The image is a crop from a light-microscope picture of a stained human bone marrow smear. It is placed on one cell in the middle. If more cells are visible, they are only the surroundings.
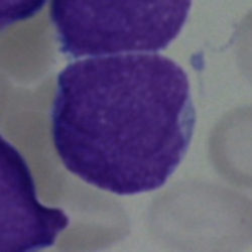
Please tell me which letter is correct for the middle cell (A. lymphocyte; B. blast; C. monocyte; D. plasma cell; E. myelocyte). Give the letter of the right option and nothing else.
B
